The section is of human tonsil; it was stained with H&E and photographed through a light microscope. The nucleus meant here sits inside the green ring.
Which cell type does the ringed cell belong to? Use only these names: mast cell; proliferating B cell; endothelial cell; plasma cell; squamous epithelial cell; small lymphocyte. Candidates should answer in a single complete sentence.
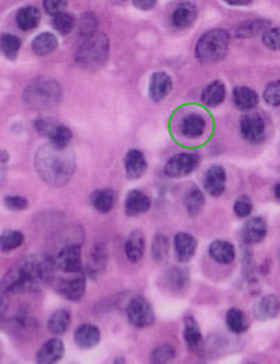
Recorded by type, the ringed cell is a plasma cell.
